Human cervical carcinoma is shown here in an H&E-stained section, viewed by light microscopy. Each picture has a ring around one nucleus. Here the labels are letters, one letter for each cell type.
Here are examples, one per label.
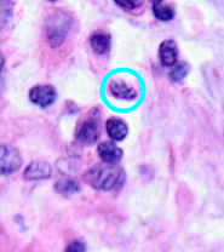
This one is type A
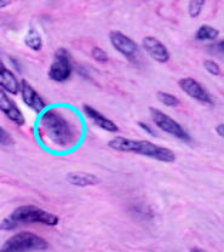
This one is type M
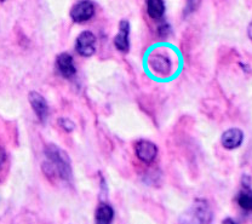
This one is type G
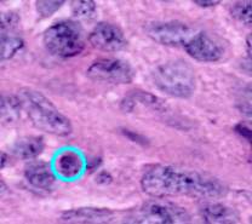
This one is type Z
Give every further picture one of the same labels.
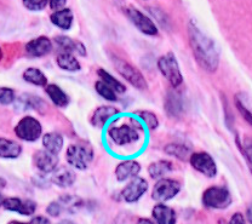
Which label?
type A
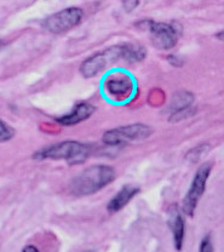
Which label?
type M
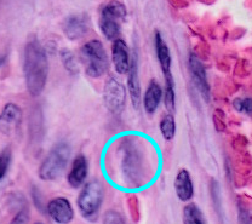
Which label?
type M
